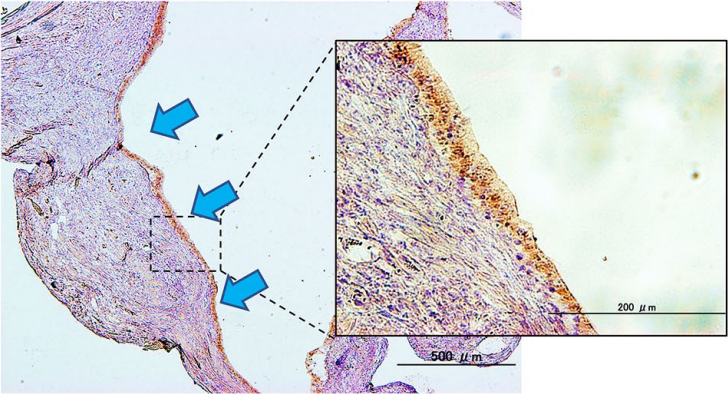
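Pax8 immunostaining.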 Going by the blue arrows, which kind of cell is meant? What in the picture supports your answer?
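Beneath the lining lies a paler fibrous stroma with spindle-shaped cells.
Hence: columnar epithelium.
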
